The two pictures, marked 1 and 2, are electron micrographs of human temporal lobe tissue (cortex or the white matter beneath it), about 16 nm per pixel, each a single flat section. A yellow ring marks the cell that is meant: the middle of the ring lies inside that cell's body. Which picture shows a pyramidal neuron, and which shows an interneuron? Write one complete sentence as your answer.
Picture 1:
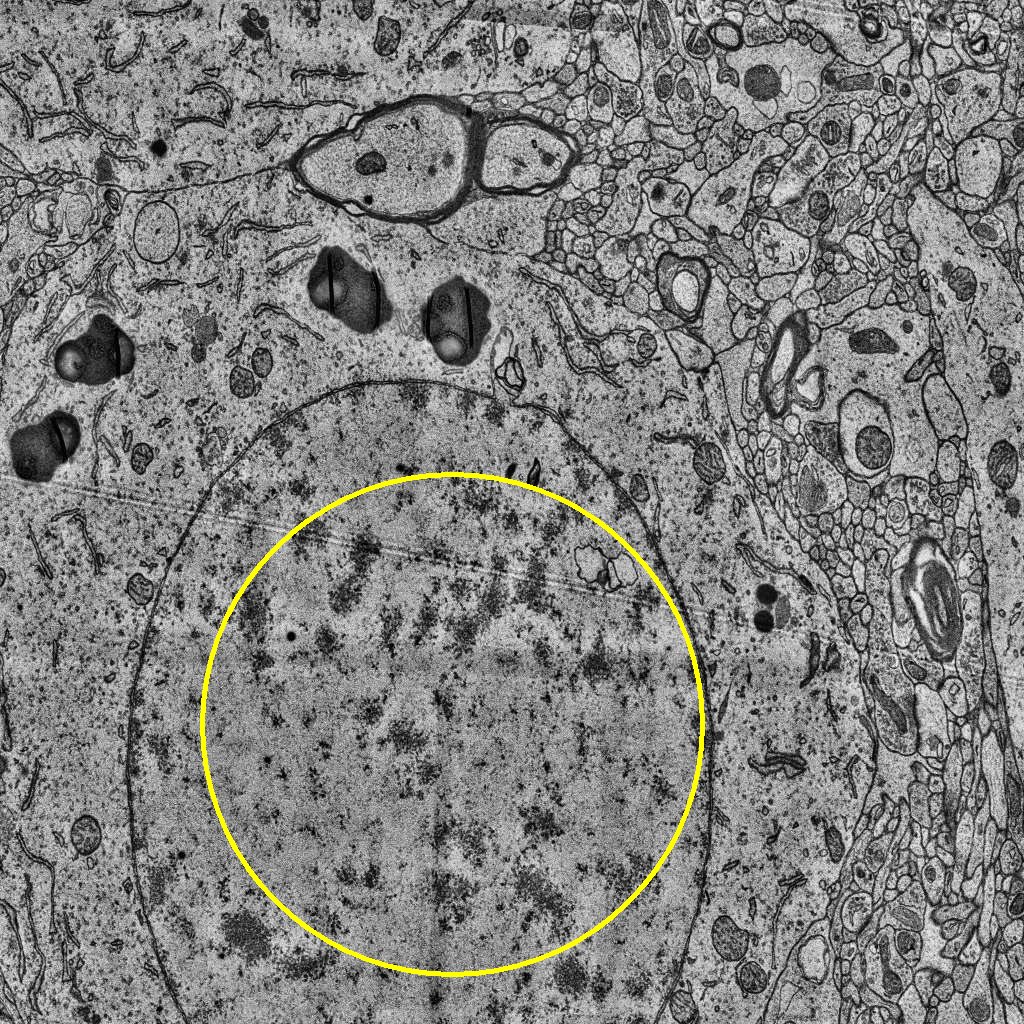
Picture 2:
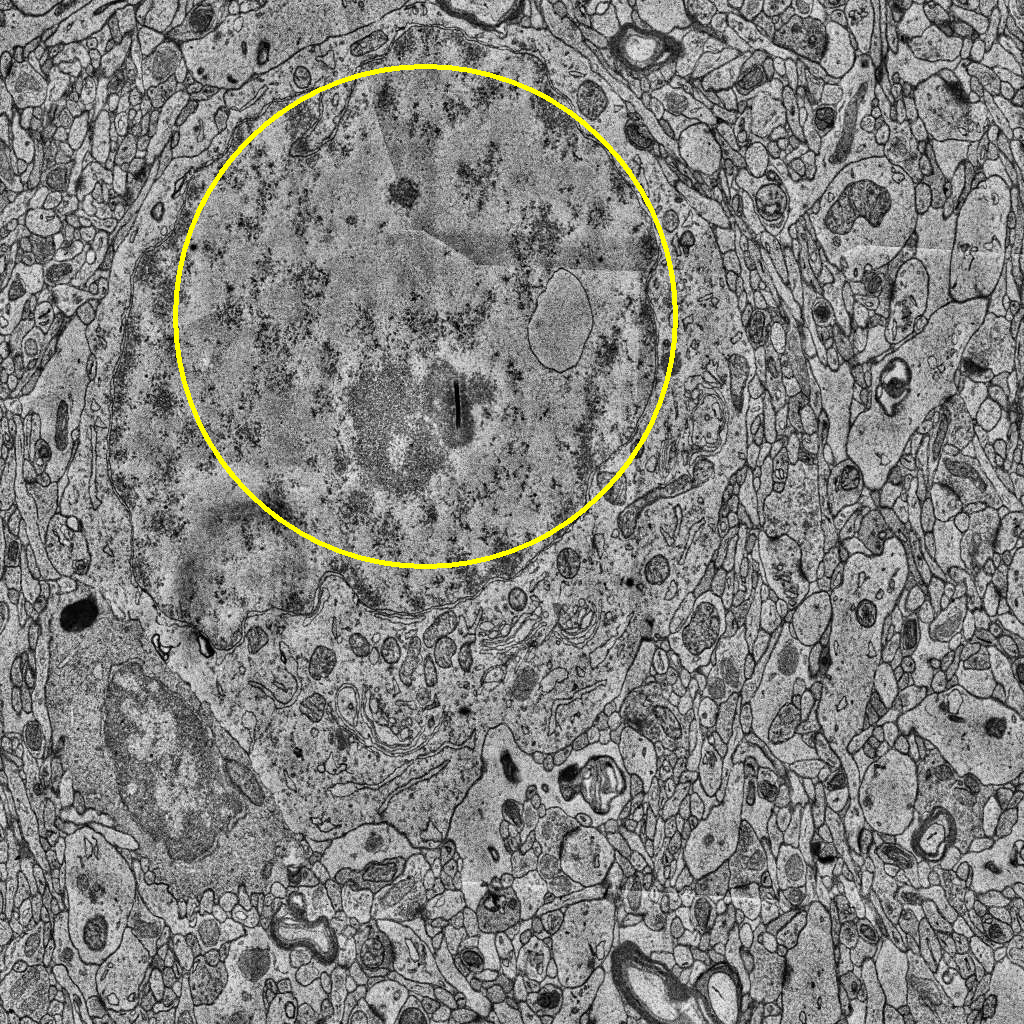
It is picture 1 that shows a pyramidal neuron, and picture 2 that shows an interneuron.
